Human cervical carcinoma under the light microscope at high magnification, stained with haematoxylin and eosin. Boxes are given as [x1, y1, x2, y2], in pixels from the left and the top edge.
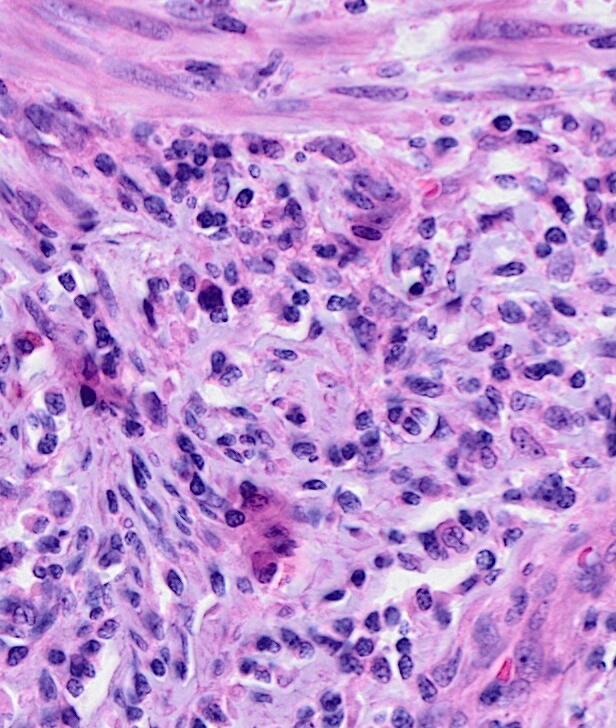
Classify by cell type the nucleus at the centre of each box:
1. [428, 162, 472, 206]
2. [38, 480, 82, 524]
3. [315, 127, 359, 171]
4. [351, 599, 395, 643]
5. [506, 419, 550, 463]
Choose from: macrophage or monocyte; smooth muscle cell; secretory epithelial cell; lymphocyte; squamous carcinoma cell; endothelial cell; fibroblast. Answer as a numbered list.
1. endothelial cell
2. macrophage or monocyte
3. macrophage or monocyte
4. lymphocyte
5. macrophage or monocyte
